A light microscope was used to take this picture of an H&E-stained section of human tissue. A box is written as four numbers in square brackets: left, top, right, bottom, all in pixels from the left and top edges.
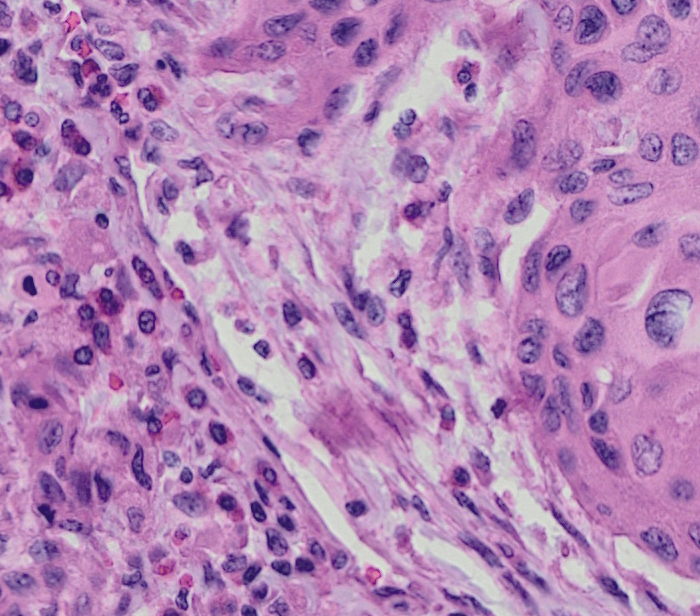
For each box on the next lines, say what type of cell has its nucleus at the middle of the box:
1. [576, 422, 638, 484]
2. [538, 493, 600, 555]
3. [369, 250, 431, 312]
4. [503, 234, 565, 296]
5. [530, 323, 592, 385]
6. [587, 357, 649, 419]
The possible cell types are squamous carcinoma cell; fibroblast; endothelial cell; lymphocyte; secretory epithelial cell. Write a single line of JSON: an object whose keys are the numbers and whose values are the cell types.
{"1": "squamous carcinoma cell", "2": "fibroblast", "3": "lymphocyte", "4": "squamous carcinoma cell", "5": "squamous carcinoma cell", "6": "squamous carcinoma cell"}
